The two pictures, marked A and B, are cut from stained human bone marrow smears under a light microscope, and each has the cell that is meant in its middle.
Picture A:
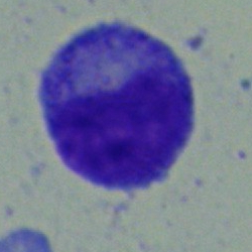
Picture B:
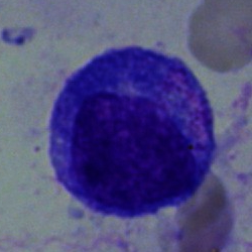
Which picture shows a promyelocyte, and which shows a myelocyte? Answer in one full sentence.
Picture A is of a myelocyte, and picture B is of a promyelocyte.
